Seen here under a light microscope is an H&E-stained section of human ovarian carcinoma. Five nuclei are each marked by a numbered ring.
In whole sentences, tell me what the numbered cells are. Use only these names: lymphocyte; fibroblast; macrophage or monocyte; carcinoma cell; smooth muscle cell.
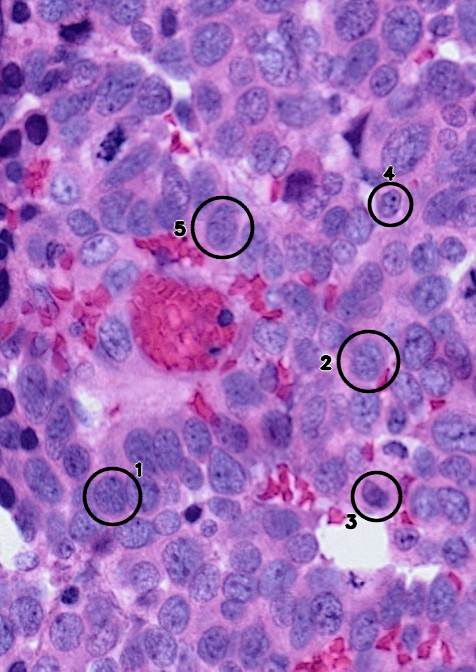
Cells 1, 2 and 5 are carcinoma cells. Cells 3 and 4 are macrophages or monocytes.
